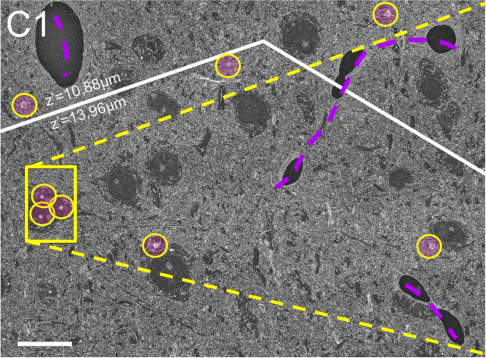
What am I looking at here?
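A fine grey granular neuropil fills the field, interrupted by rounded, smoother, darker grey profiles of cell bodies and nuclei scattered across it. Very dark, elongated profiles, several traced by purple dashed lines, cross the field as vessel lumens. Small bright dots ringed in yellow appear at scattered points, three of them grouped together at the left inside a yellow box.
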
